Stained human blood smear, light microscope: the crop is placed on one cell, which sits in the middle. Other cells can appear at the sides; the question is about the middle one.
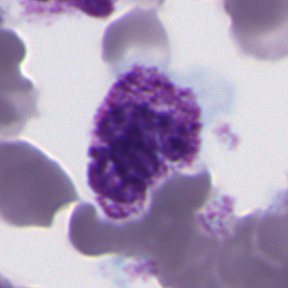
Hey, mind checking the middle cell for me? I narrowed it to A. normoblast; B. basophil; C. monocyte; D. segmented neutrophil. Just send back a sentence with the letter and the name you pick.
Here the right option is B, as the cell in the middle is a basophil.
